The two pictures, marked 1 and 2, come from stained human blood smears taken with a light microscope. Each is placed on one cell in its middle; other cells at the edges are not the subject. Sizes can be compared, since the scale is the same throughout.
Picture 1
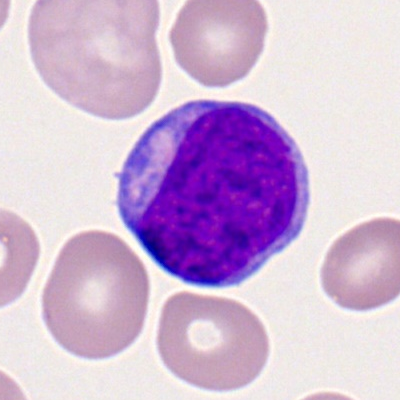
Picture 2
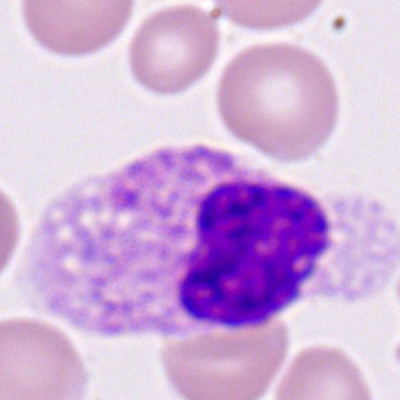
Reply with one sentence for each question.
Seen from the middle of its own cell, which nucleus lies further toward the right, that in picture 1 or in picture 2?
Seen within its cell, the nucleus in picture 2 lies further toward the right.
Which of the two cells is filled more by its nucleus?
In picture 1 the nucleus takes up the larger part of its cell.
